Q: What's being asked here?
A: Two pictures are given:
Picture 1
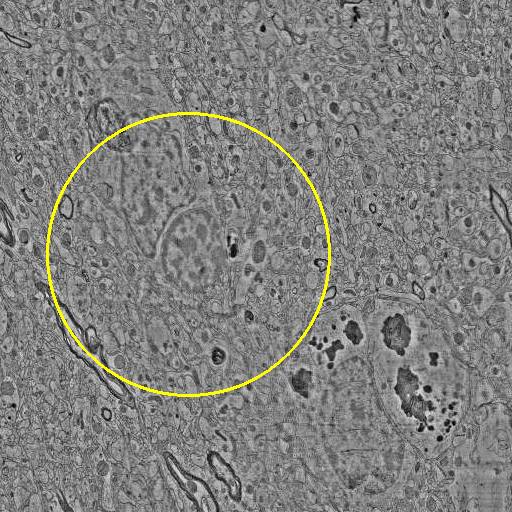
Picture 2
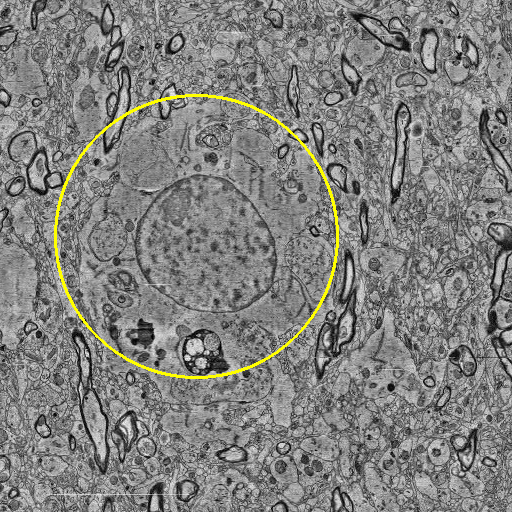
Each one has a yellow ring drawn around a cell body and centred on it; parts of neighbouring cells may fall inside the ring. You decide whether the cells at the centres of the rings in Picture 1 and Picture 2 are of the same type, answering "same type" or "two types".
two types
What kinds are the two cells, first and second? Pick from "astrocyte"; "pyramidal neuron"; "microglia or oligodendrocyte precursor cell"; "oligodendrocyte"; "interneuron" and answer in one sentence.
The second picture holds an astrocyte in its ring, and the first holds an oligodendrocyte.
